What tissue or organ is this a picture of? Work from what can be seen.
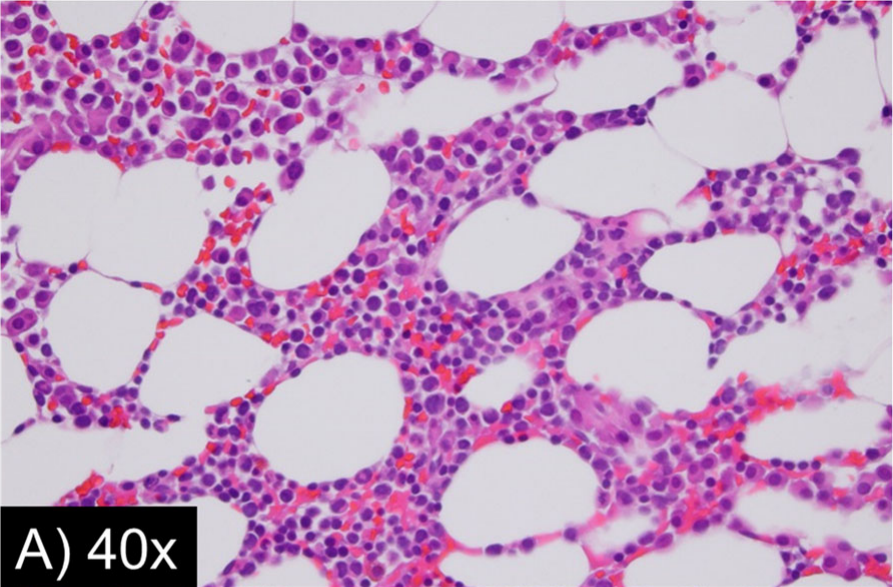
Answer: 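Bone marrow. Many round empty fat spaces. Densely packed hematopoietic cells fill the spaces between the fat cells. Scattered red blood cells among the nucleated cells.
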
